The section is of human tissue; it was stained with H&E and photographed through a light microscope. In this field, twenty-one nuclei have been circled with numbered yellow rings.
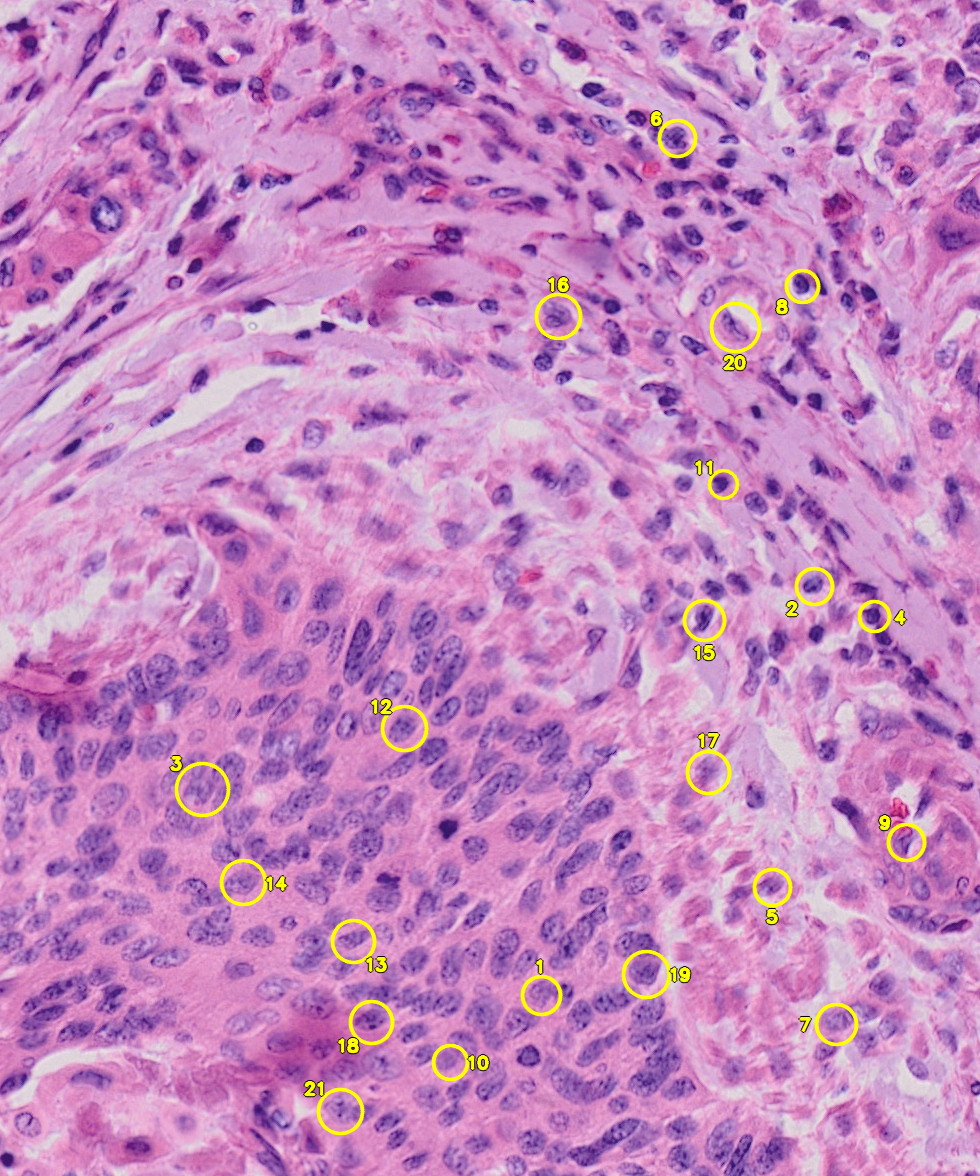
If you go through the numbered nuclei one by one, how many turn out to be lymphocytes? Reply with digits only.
6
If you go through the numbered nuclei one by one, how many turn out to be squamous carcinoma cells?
9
